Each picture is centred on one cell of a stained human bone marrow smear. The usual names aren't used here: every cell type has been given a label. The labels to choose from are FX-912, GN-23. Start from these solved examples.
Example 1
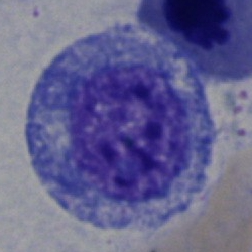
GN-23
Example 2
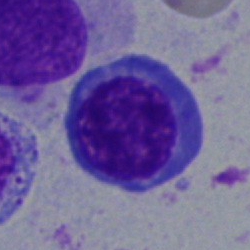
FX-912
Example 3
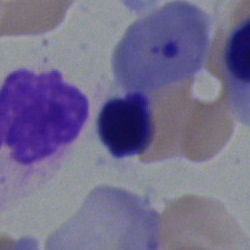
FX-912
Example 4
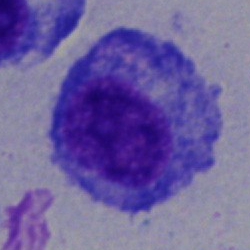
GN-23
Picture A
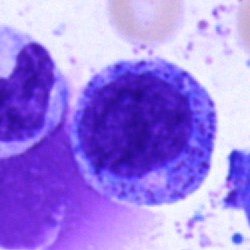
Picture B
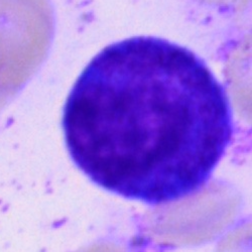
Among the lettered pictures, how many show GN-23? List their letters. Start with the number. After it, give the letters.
2: A, B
